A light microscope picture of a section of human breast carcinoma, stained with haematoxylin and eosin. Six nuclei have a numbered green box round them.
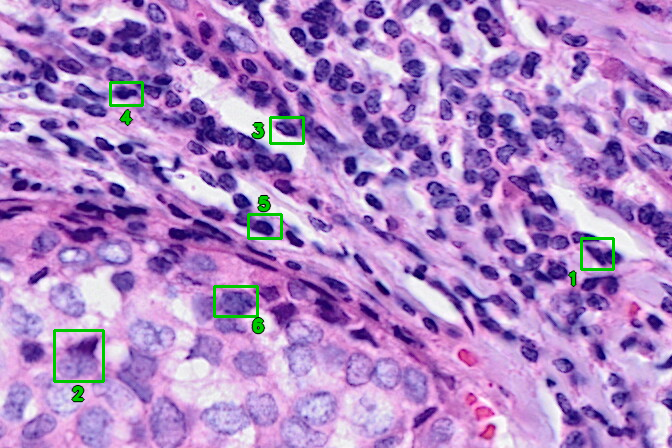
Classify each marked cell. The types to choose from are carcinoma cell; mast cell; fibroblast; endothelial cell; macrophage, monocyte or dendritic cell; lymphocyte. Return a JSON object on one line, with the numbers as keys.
{"1": "lymphocyte", "2": "carcinoma cell", "3": "lymphocyte", "4": "lymphocyte", "5": "lymphocyte", "6": "carcinoma cell"}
